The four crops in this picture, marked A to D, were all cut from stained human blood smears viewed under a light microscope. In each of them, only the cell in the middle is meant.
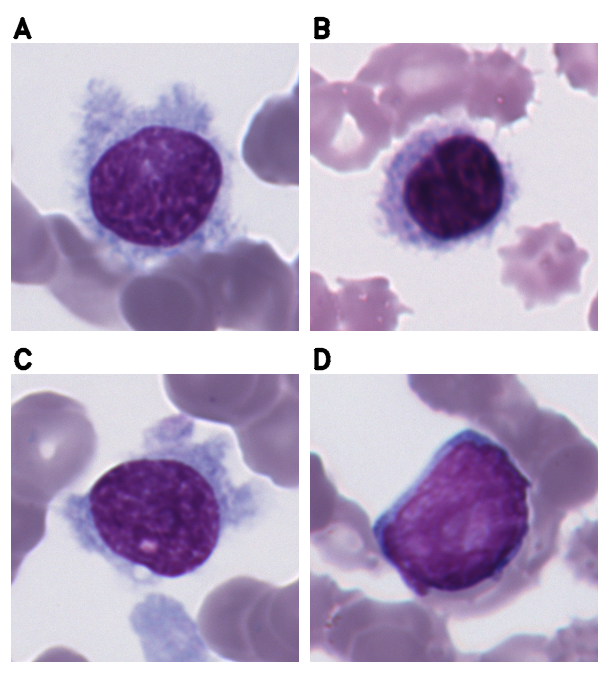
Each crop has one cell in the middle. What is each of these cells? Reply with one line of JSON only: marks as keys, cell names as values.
{"A": "hairy cell", "B": "hairy cell", "C": "hairy cell", "D": "myeloblast"}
